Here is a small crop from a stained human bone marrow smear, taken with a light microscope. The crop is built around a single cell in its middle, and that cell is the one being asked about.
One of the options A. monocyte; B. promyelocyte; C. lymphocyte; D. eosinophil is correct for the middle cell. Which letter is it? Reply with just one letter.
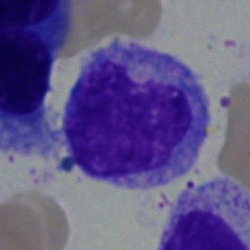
A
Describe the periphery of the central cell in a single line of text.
From every side, the cell boundary is smooth and free of projections.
